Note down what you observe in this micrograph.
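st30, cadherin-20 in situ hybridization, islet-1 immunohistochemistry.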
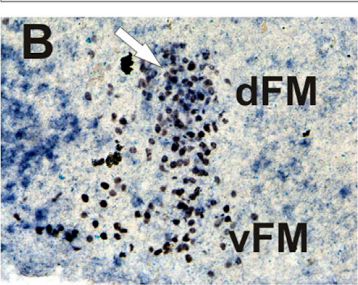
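This is a cluster of motor neurons of the facial nucleus in the hindbrain, seen as many small, round, dark brown nuclei. The nuclei form a dense column running from top to bottom, splitting into an upper and a lower group, with a thinner trail of nuclei extending to the left at the bottom. The nuclei are closely packed and similar in size.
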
